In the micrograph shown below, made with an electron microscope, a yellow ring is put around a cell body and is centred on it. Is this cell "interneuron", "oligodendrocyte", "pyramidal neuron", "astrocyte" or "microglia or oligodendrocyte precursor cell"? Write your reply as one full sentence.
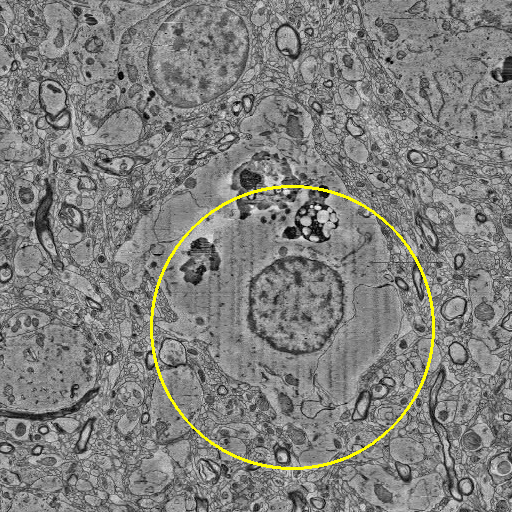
In the micrograph, an astrocyte is the cell at the centre of the yellow ring.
